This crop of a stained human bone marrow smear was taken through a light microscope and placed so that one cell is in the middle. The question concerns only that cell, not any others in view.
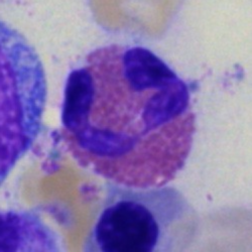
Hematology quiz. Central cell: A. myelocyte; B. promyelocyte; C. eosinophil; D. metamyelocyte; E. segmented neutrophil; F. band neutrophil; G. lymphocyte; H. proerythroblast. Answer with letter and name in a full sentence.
Option C is the right one, for the cell in the middle is an eosinophil.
